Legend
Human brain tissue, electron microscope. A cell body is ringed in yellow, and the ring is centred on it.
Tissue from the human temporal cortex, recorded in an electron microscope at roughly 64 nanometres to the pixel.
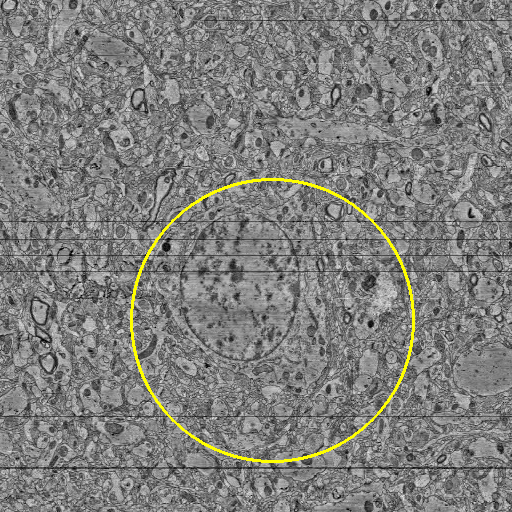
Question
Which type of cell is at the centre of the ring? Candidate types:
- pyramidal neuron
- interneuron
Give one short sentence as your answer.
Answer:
The yellow ring is centred here on a pyramidal neuron.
